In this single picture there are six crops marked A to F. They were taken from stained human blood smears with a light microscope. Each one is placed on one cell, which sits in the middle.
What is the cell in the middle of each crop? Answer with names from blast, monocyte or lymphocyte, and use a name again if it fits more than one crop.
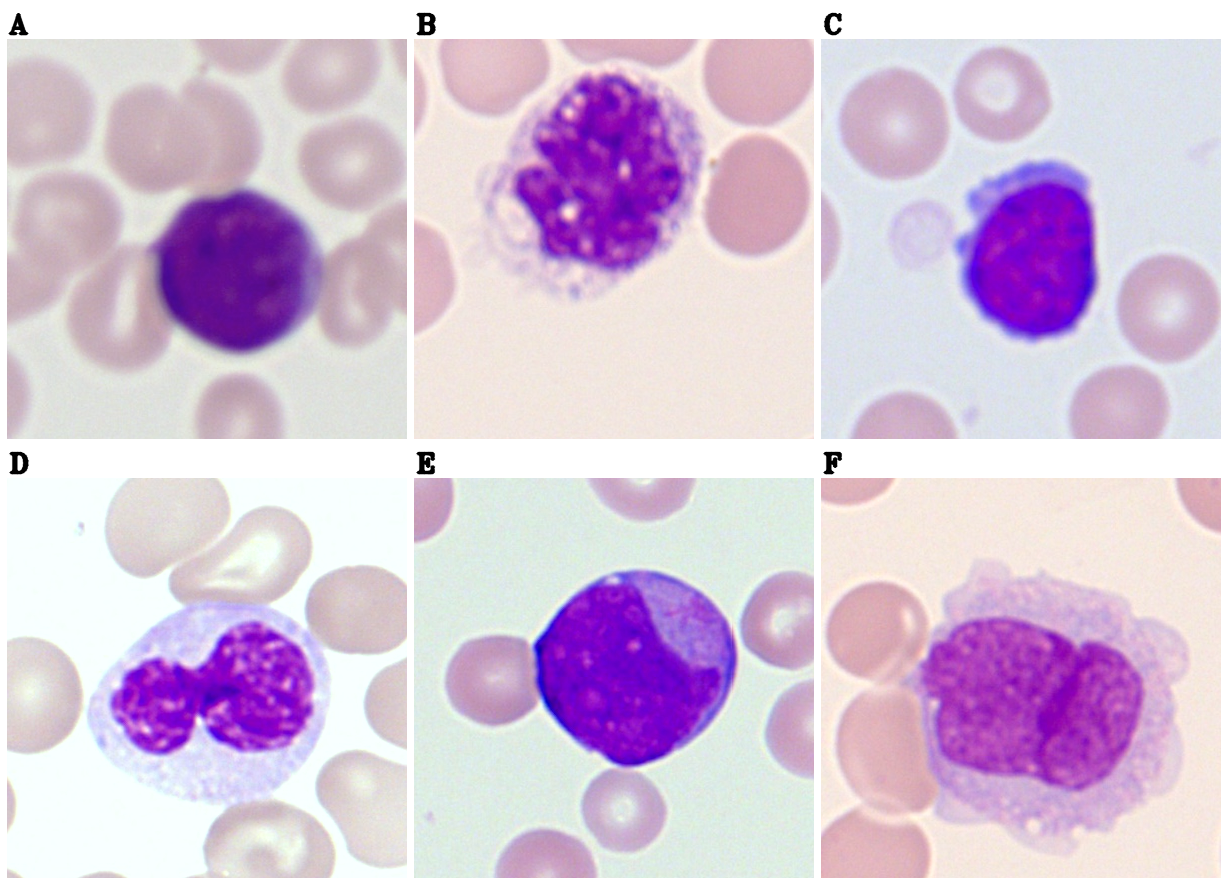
A: blast
B: monocyte
C: lymphocyte
D: monocyte
E: blast
F: monocyte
